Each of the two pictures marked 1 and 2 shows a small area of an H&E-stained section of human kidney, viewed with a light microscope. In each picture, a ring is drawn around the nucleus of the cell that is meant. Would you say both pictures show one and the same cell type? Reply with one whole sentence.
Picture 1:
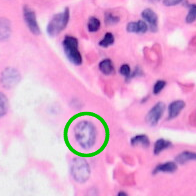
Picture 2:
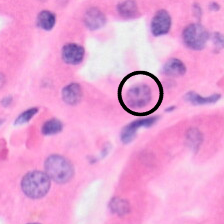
No. Picture 1 shows a collecting duct cell, but picture 2 shows a “loop of Henle or distal tubule cell”.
